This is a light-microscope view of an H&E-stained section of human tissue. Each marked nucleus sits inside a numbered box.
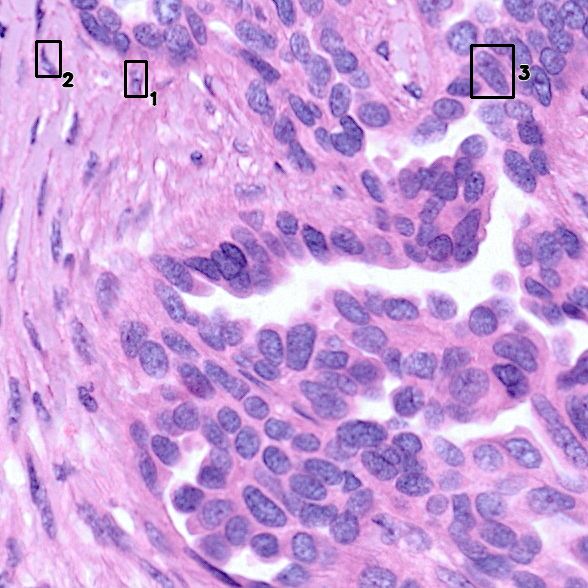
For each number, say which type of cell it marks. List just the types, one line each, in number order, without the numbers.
fibroblast
fibroblast
carcinoma cell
